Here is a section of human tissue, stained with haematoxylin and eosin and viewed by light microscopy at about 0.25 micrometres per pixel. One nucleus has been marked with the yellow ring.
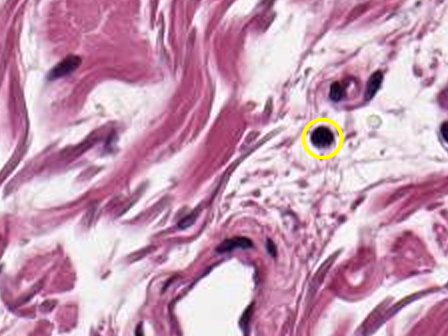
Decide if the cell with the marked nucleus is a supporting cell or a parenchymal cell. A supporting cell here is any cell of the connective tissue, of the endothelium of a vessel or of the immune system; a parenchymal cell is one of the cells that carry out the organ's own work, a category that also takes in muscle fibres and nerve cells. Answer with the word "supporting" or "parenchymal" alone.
supporting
